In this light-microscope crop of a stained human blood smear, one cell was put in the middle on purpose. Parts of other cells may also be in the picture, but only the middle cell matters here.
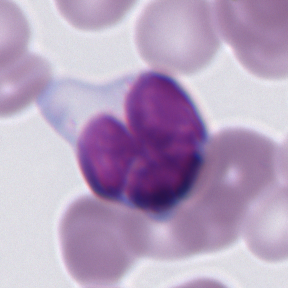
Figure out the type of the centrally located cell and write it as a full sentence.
The cell around which this crop is centred is a large granular lymphocyte.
